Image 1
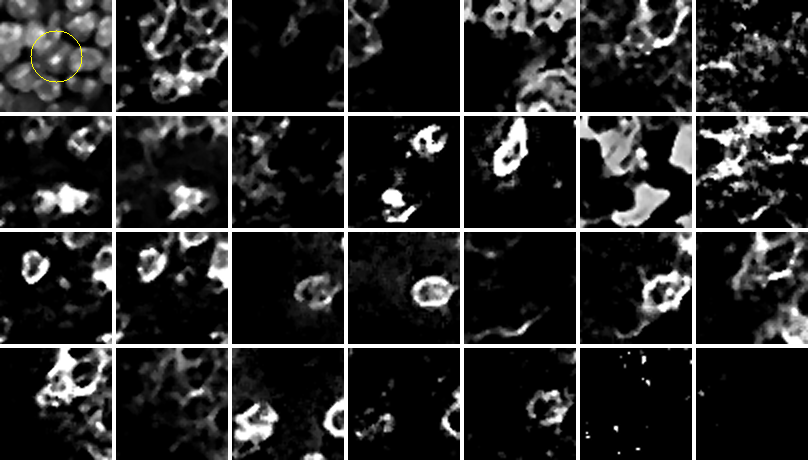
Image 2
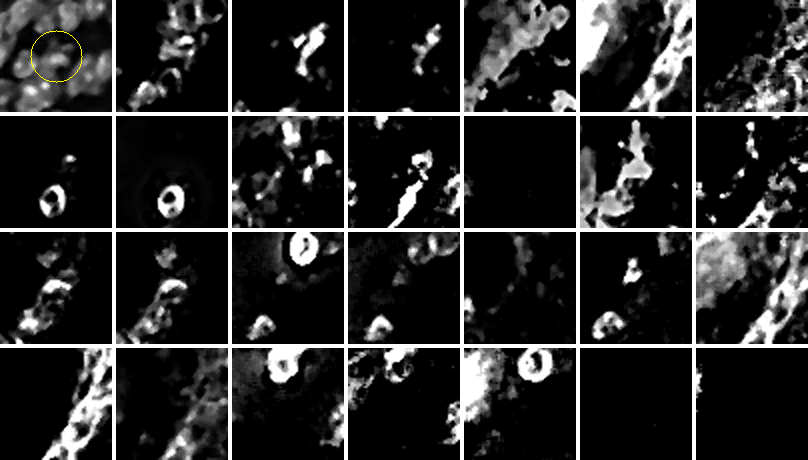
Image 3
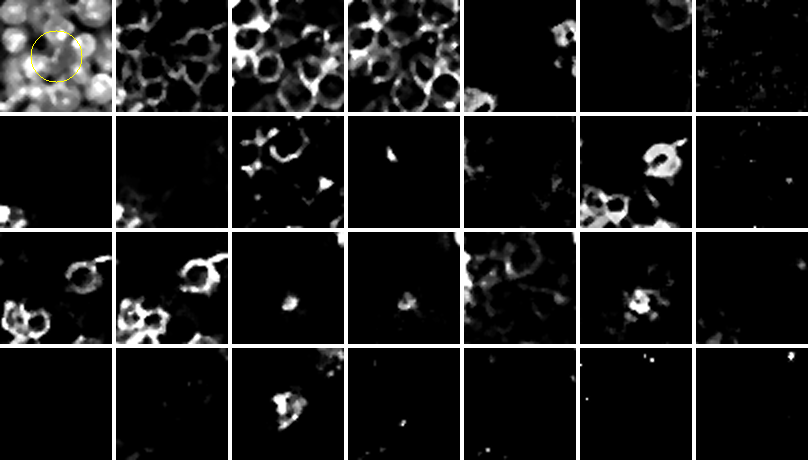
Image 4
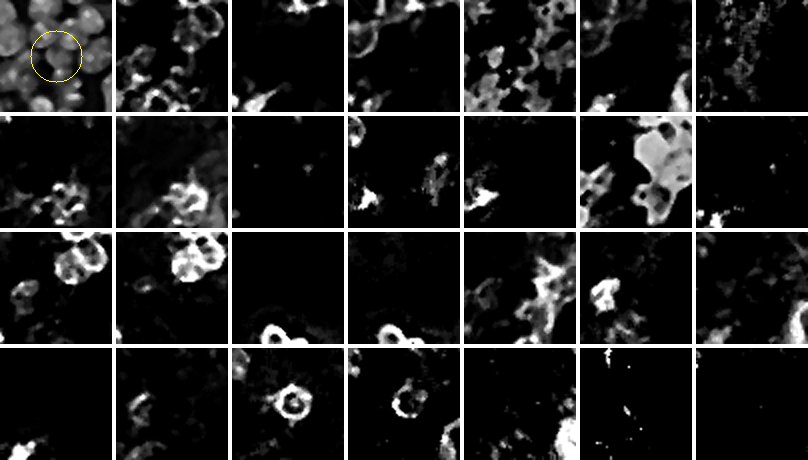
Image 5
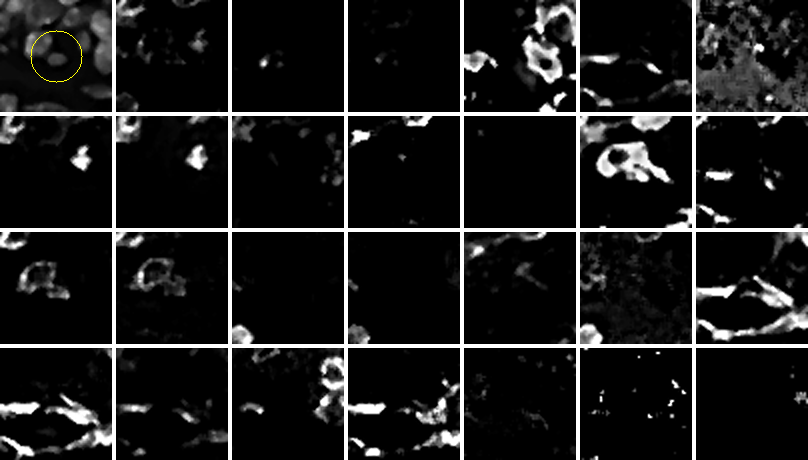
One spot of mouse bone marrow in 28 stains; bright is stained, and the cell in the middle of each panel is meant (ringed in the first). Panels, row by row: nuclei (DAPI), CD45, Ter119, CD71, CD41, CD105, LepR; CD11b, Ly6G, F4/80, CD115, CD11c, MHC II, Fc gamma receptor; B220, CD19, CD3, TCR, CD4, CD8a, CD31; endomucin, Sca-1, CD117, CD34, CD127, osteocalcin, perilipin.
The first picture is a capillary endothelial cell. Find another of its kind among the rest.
Picture 5.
